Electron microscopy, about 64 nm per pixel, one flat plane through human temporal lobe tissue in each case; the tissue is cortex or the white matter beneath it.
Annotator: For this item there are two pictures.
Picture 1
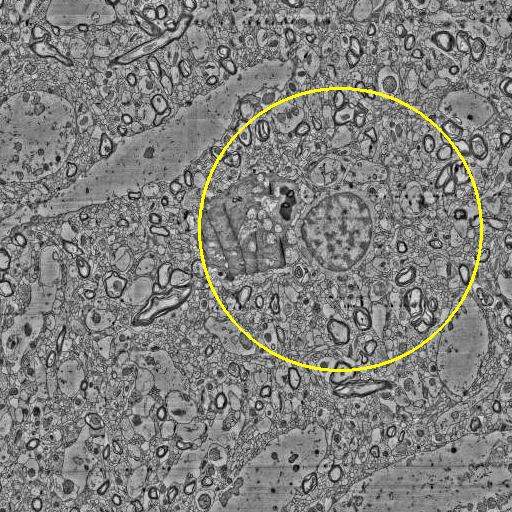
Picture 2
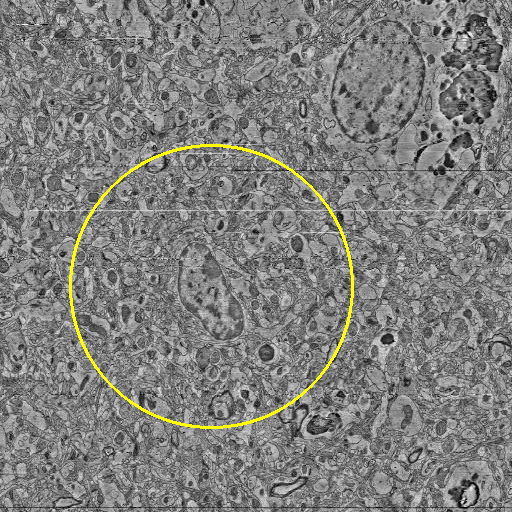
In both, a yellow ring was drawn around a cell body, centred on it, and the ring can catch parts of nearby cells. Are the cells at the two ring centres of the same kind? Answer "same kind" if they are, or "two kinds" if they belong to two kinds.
two kinds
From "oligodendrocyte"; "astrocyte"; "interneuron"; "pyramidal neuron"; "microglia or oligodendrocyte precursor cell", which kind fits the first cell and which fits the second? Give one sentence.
The cell marked in the first picture is an oligodendrocyte, and the one marked in the second is a microglial cell or oligodendrocyte precursor cell.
